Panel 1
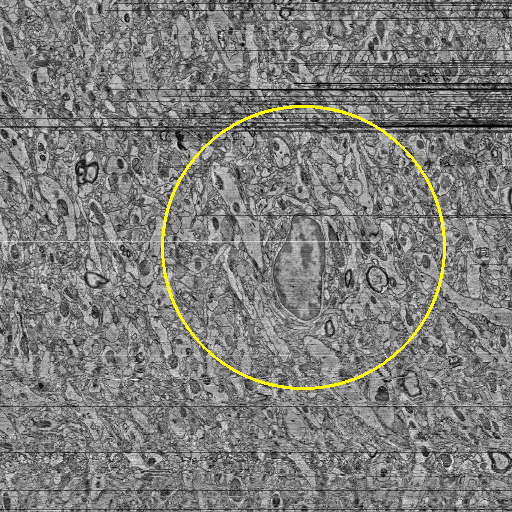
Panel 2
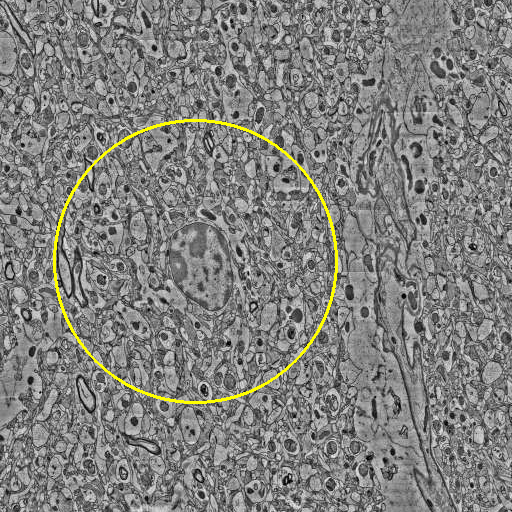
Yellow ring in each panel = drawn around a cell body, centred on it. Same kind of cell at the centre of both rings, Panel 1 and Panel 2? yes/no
yes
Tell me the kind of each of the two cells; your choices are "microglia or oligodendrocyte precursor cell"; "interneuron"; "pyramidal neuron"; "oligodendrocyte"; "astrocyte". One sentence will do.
The cell in the first picture is a microglial cell or oligodendrocyte precursor cell, and so is the one in the second.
